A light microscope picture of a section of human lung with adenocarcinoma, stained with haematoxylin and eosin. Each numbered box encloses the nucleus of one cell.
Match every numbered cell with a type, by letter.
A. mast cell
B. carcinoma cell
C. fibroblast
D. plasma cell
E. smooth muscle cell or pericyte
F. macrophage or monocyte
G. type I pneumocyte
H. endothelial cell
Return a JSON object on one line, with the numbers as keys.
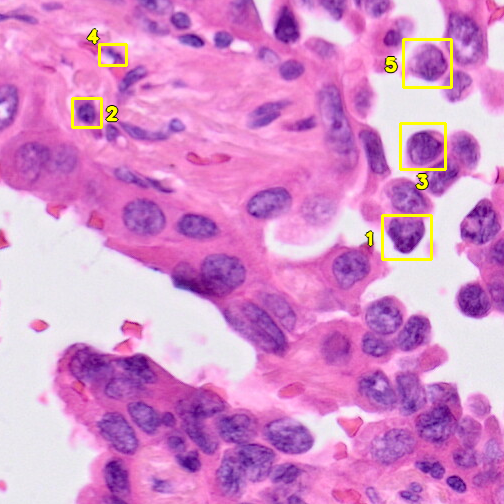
{"1": "B", "2": "D", "3": "B", "4": "H", "5": "B"}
